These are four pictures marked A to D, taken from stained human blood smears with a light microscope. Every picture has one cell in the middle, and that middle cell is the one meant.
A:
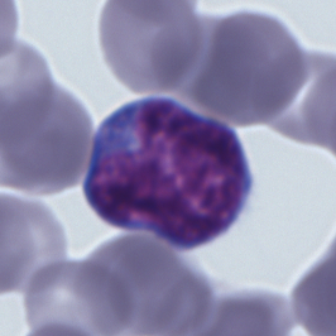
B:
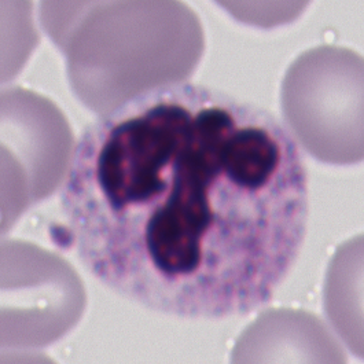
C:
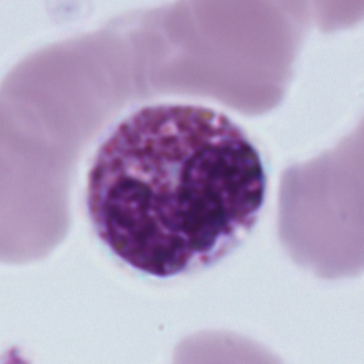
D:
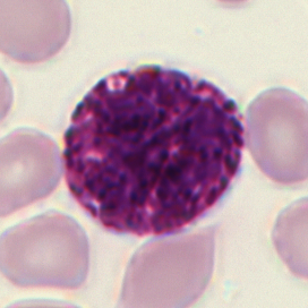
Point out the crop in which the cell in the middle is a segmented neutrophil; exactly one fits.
B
